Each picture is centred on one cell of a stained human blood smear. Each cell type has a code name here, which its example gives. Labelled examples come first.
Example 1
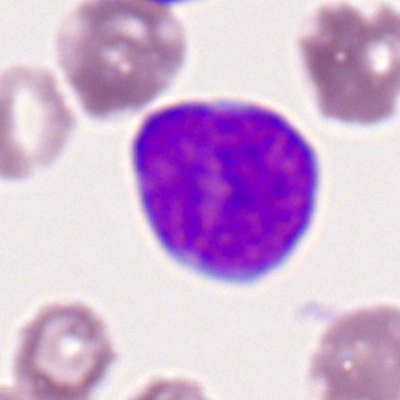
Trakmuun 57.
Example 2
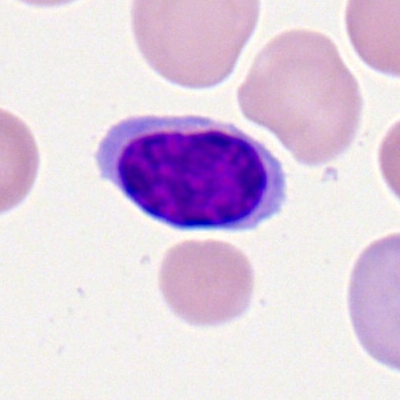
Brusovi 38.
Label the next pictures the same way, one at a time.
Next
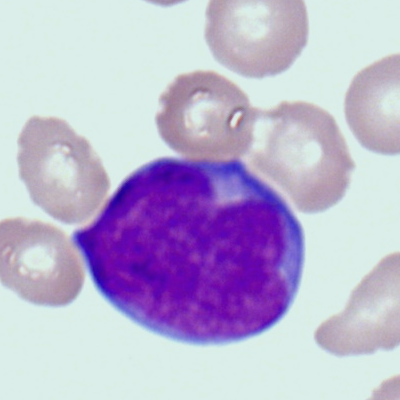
Trakmuun 57.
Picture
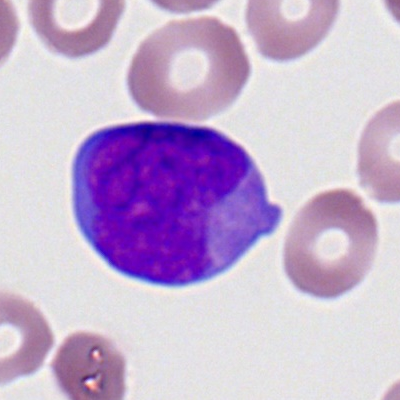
Trakmuun 57.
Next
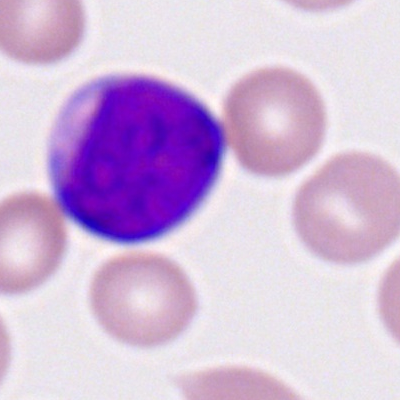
Trakmuun 57.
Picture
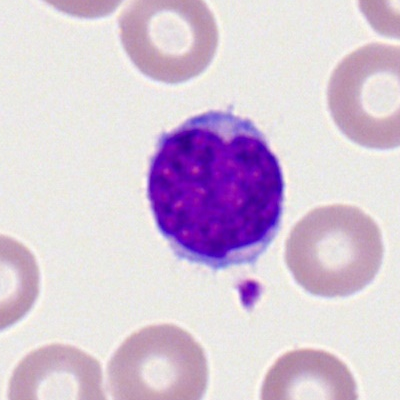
Brusovi 38.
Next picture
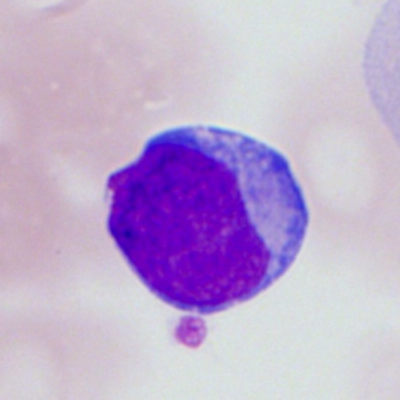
Trakmuun 57.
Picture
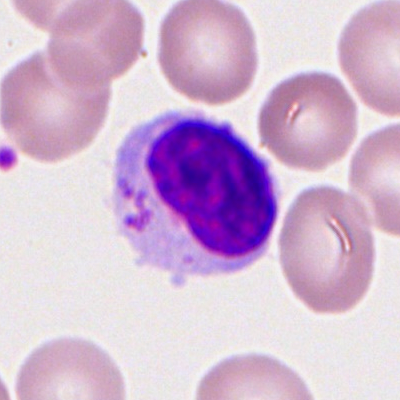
Brusovi 38.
